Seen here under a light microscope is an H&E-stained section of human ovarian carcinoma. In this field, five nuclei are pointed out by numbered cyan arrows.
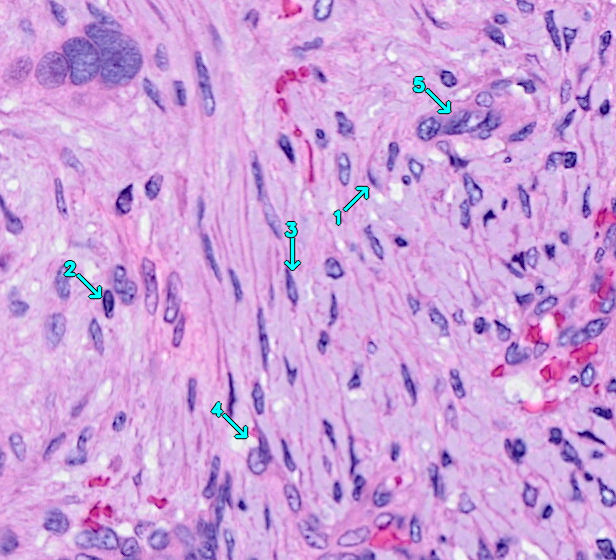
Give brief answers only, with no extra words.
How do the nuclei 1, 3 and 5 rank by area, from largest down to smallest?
5, 3, 1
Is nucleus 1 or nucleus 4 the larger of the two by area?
4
